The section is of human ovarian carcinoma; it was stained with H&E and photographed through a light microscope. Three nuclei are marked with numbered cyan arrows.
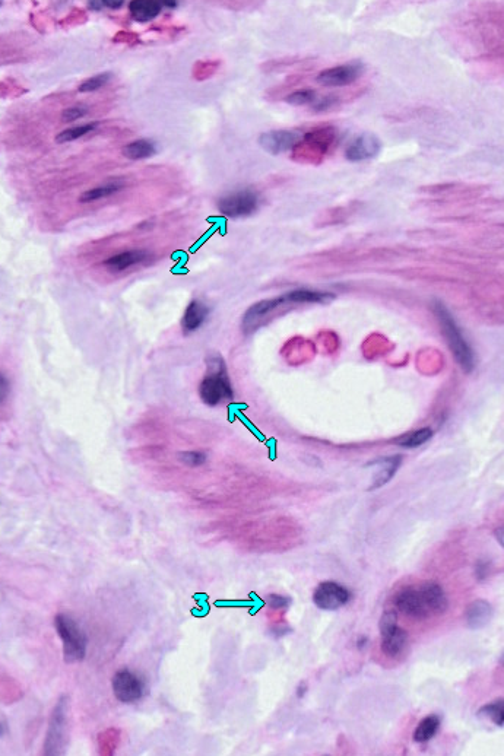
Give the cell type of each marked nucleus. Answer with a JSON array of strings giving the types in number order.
["lymphocyte", "fibroblast", "endothelial cell"]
